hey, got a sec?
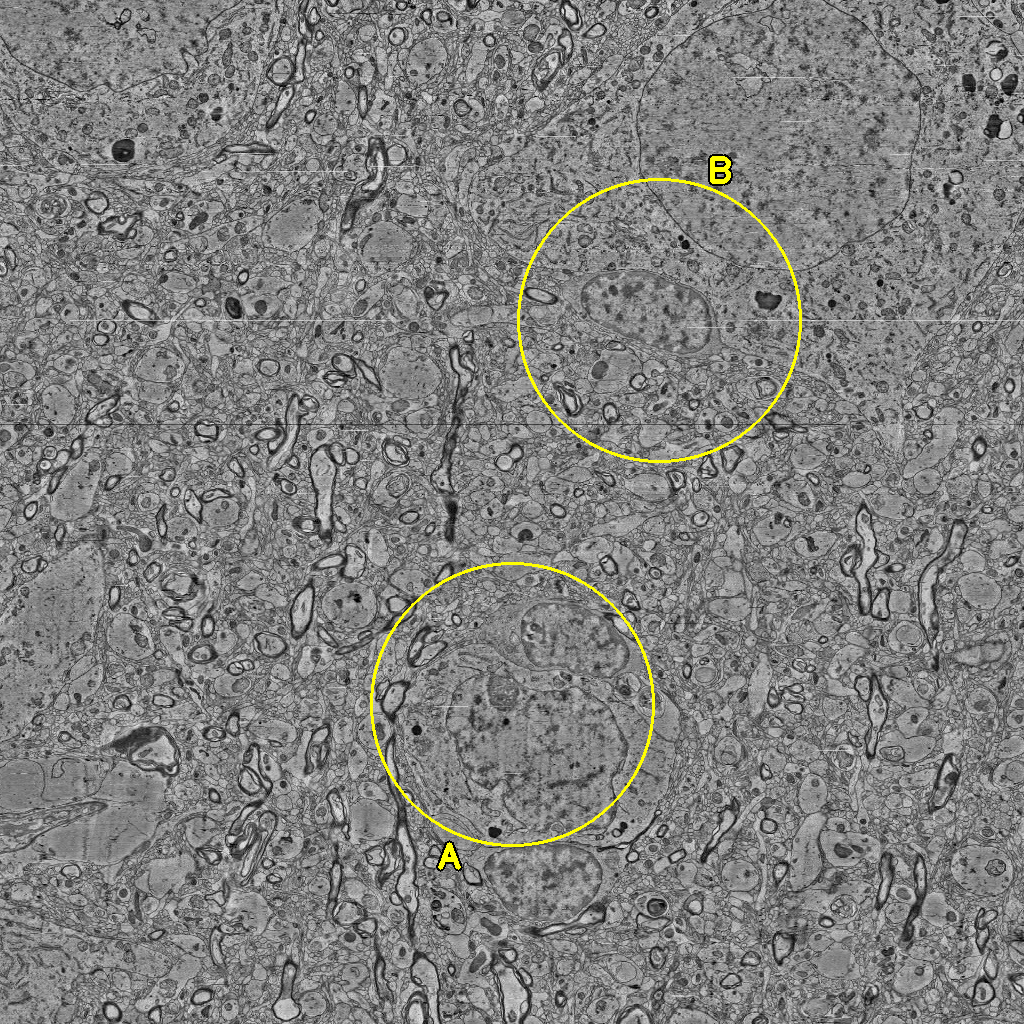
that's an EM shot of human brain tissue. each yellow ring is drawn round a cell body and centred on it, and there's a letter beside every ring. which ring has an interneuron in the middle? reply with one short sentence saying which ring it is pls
Ring A is the one centred on it.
